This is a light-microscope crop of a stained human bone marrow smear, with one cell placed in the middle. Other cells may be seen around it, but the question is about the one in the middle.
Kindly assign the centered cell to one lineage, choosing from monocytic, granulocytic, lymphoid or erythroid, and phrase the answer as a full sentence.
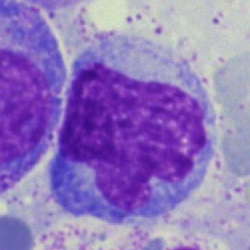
In terms of lineage, the cell at the center is monocytic.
